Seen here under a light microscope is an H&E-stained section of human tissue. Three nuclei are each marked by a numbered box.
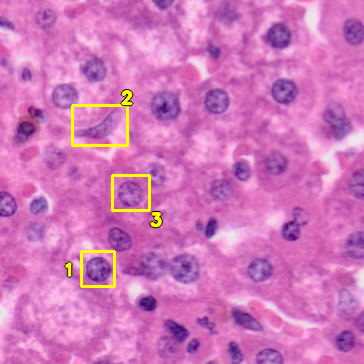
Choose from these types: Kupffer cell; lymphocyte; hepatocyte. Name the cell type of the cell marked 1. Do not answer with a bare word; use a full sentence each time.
The correct answer for cell 1 is a hepatocyte.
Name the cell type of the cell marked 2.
Cell 2 in the field of view is a Kupffer cell.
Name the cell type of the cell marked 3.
The cell pointed out as number 3 is a hepatocyte.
